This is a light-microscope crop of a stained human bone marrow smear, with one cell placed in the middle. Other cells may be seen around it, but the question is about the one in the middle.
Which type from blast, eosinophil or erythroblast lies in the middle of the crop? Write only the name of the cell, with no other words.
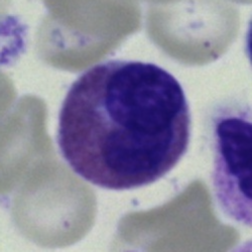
eosinophil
